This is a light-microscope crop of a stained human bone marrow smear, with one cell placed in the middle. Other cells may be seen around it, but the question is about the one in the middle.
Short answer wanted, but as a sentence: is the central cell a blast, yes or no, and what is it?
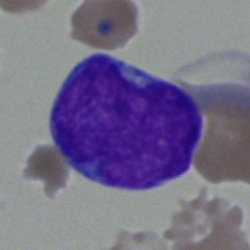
Yes, the cell of interest in the centre is a blast.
